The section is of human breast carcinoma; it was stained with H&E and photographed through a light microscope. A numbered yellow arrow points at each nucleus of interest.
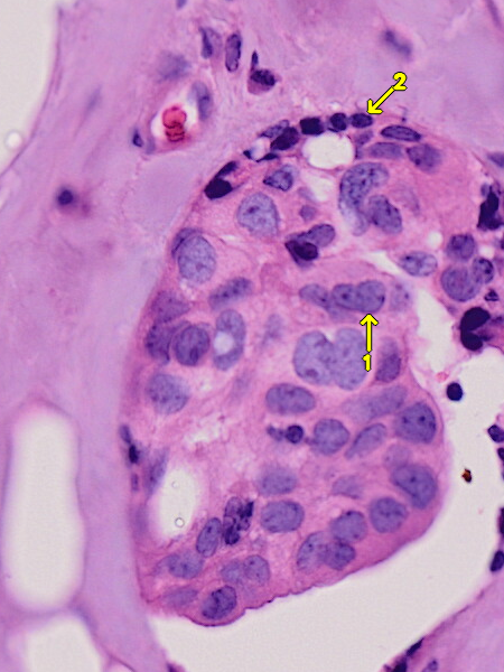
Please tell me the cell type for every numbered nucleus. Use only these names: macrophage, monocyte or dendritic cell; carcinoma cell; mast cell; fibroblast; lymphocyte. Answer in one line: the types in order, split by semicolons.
carcinoma cell; lymphocyte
